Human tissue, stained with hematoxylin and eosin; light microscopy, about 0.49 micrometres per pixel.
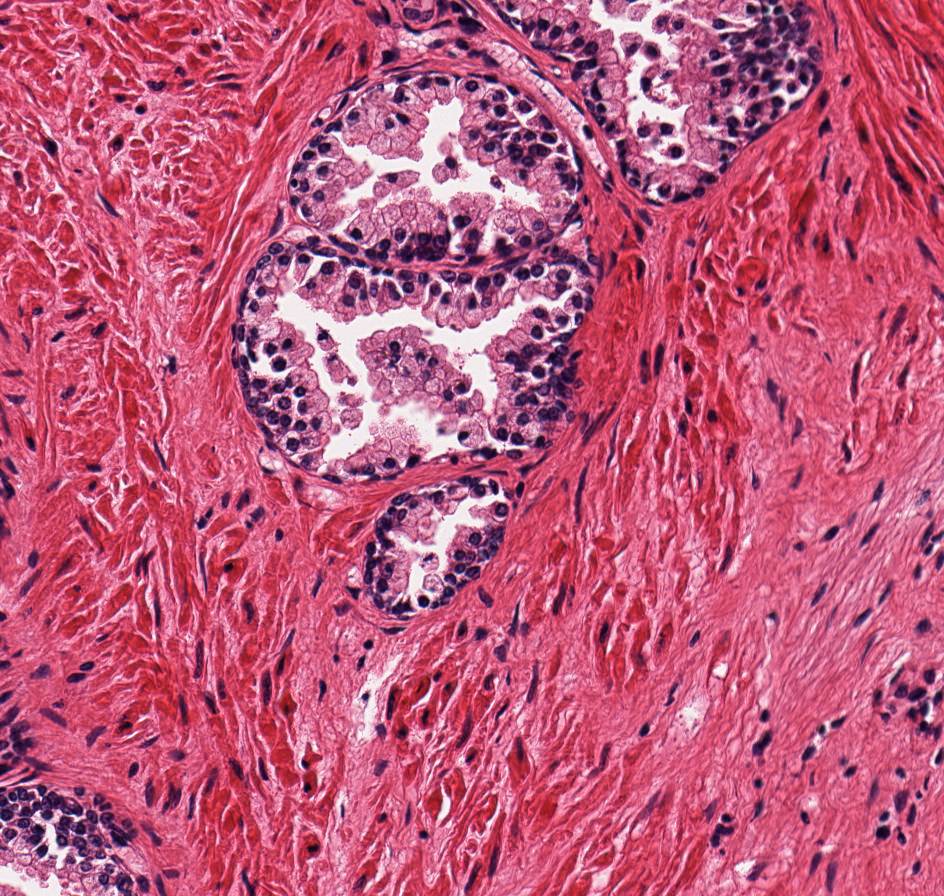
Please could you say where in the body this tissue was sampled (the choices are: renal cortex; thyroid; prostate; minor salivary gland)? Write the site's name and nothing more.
prostate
